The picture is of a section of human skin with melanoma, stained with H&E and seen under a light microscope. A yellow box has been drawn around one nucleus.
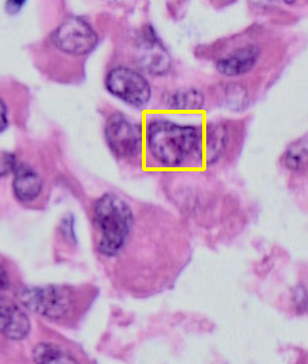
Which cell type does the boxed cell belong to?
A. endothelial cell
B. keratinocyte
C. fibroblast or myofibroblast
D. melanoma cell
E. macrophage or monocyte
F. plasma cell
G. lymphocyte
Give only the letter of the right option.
D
